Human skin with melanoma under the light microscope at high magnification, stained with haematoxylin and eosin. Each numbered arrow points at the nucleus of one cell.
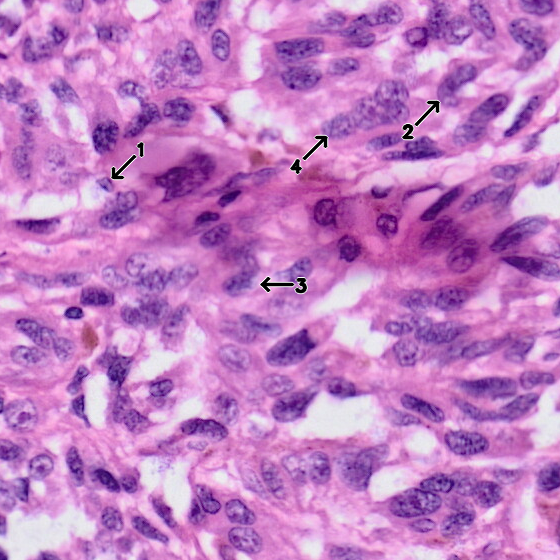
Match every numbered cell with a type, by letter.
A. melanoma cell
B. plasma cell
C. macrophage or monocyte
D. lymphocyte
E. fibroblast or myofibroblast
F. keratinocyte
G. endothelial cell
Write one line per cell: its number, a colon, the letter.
1: D
2: A
3: A
4: A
